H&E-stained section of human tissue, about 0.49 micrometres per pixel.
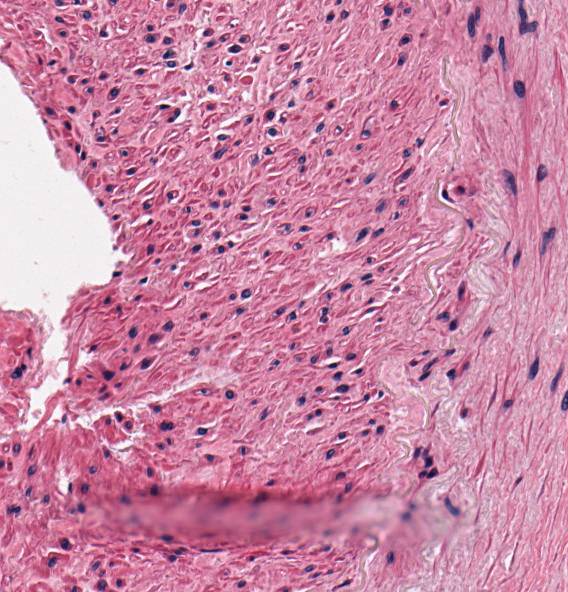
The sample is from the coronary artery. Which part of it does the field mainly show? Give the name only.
tunica intima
